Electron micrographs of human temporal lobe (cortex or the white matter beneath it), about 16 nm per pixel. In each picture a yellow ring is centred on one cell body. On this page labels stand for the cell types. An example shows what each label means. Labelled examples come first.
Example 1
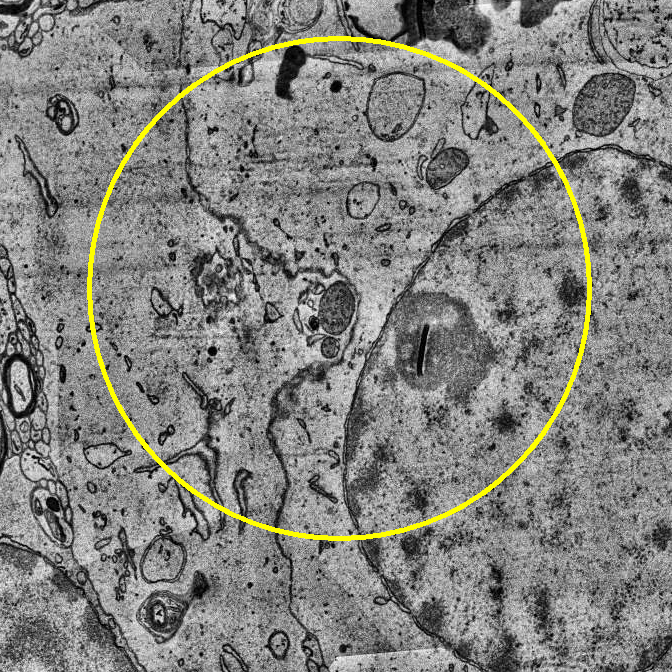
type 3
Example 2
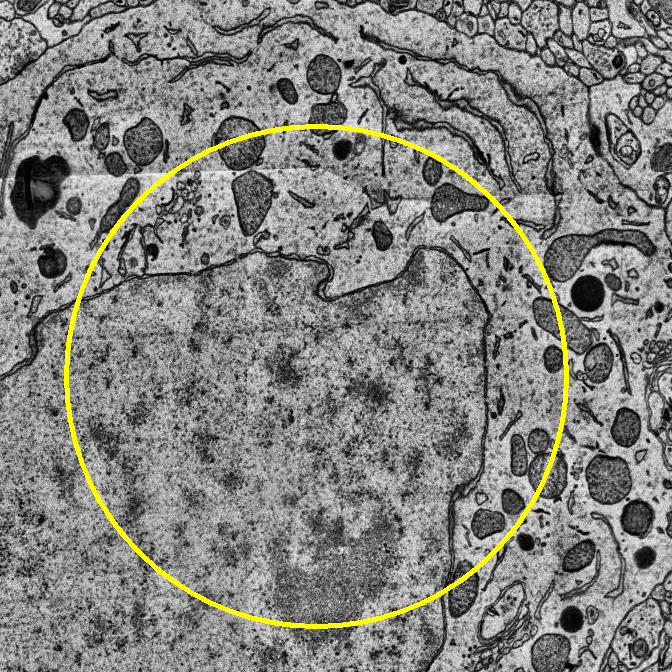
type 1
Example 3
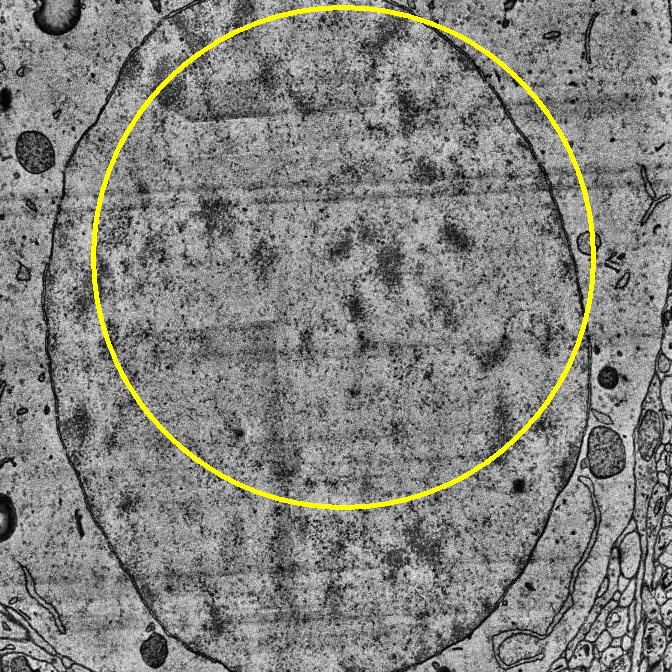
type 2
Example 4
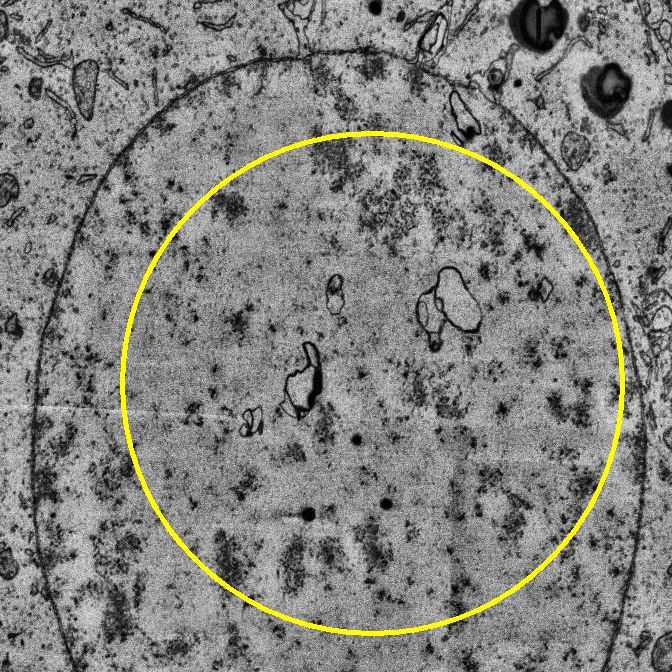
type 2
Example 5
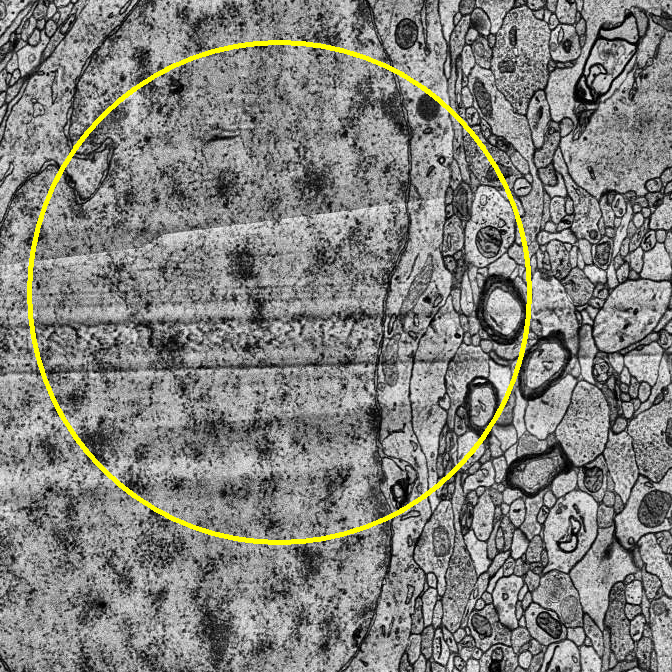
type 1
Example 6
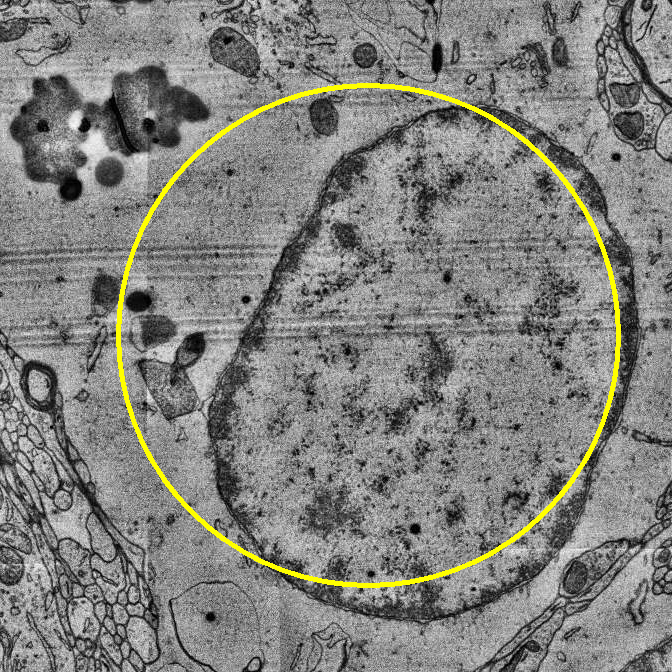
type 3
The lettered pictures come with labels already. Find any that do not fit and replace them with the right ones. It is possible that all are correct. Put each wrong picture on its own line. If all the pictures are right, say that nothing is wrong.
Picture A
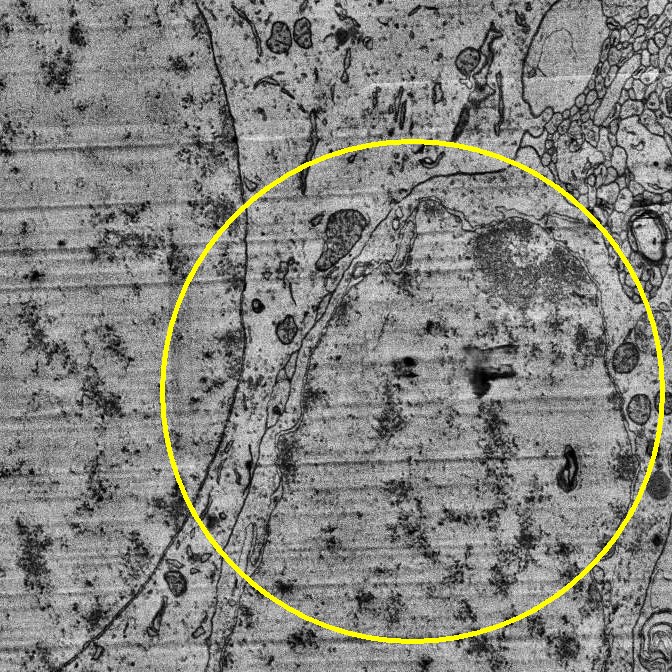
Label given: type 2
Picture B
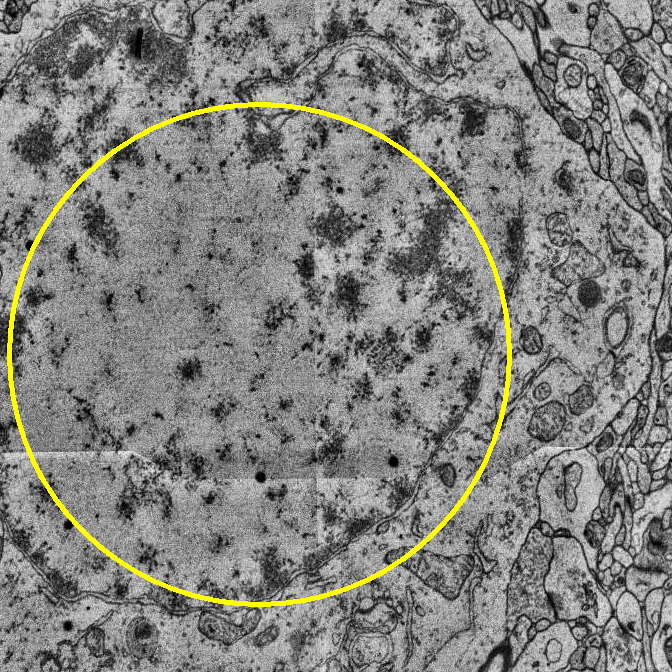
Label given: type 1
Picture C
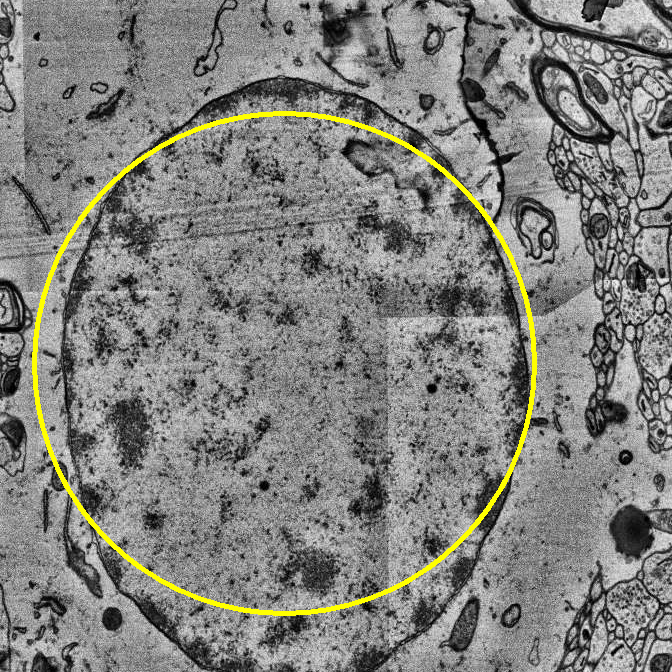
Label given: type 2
A is labelled type 2; correct label: type 1
C is labelled type 2; correct label: type 3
